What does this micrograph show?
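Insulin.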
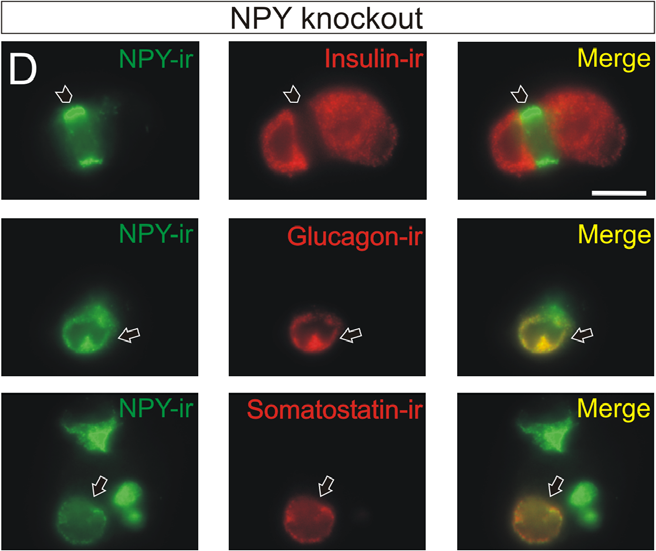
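These are dissociated pancreatic islet cells, seen singly or in small groups of two or three against a dark background. The cells are rounded to oval, roughly ten micrometres across, and the stained material fills the cytoplasm with a finely granular, punctate appearance, often densest at the cell rim.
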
